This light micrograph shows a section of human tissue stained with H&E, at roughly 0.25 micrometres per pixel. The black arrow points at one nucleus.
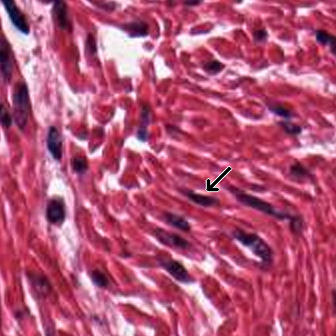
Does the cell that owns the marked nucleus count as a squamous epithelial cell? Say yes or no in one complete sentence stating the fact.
No, the nucleus carrying the mark does not come from a squamous epithelial cell.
